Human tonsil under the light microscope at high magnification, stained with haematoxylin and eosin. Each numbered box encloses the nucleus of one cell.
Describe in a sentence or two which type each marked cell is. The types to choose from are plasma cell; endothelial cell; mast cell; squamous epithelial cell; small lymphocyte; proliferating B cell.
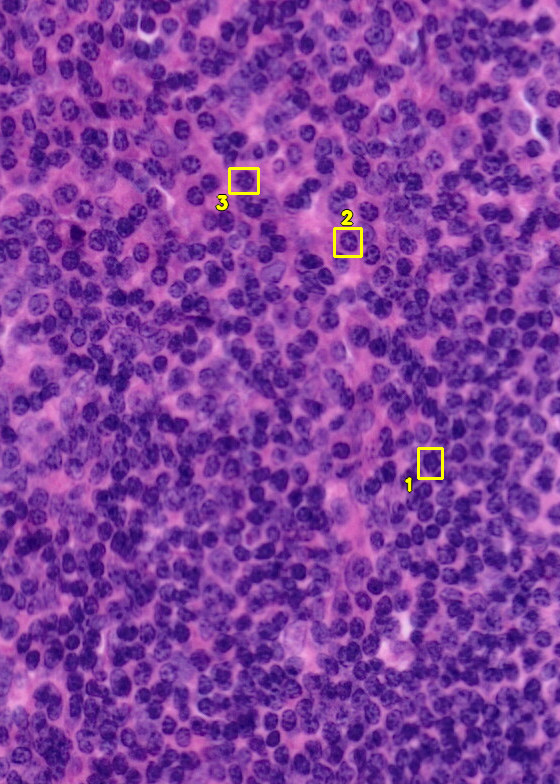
Cell 1 is a small lymphocyte. Cells 2 and 3 are plasma cells.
